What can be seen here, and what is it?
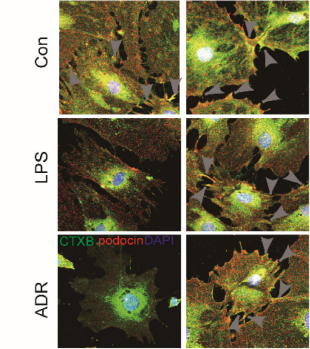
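These are cultured podocytes seen as merged images of green, red and blue fluorescence, in a grid of six fields. The cells are flat and irregularly shaped, with broad cytoplasm and projections reaching toward neighbouring cells, and each has an oval blue nucleus. Where green and red coincide the cell edges and processes appear yellow, and grey arrowheads mark such yellow rims in several fields. In some fields, particularly in the left column lower rows, the cells look rounder and more separate, with mostly green or reddish cytoplasm and few yellow edges. In the right column the cells keep extensive yellow-rimmed margins and processes.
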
